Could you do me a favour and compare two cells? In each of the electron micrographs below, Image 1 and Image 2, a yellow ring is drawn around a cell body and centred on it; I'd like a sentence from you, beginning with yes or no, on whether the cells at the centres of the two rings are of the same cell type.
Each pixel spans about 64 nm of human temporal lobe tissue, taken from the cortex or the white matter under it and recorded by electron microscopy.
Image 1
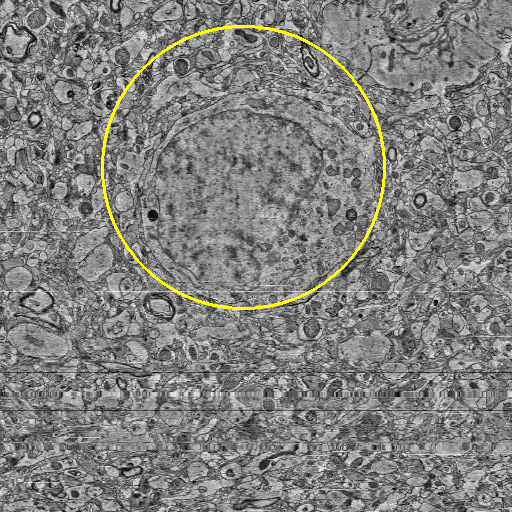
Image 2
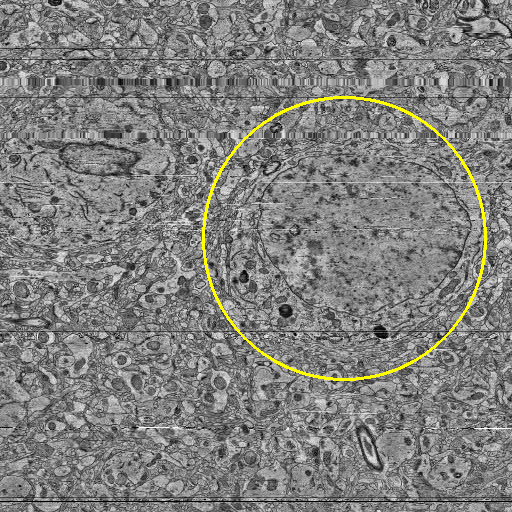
No, the two cells are of two cell types.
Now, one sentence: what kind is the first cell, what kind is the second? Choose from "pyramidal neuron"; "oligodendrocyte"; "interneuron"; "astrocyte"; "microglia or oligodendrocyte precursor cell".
The first picture has an interneuron at its ring centre, and the second has a pyramidal neuron.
